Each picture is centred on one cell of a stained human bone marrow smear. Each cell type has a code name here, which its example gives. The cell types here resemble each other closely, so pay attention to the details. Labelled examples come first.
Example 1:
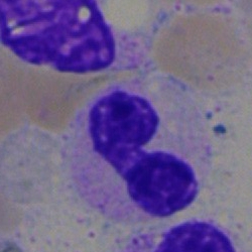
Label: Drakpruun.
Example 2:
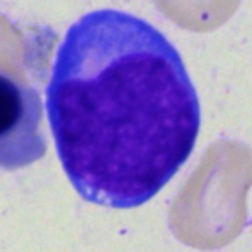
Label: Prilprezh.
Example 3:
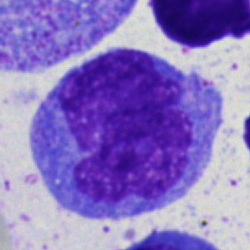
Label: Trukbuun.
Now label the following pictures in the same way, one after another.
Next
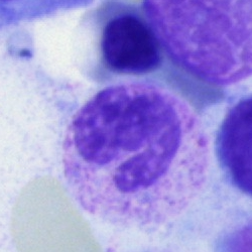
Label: Drakpruun.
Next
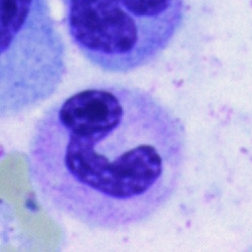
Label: Drakpruun.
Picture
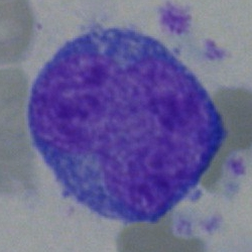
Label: Prilprezh.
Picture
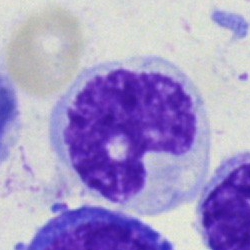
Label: Trukbuun.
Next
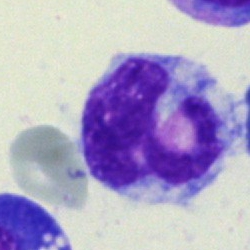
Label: Trukbuun.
